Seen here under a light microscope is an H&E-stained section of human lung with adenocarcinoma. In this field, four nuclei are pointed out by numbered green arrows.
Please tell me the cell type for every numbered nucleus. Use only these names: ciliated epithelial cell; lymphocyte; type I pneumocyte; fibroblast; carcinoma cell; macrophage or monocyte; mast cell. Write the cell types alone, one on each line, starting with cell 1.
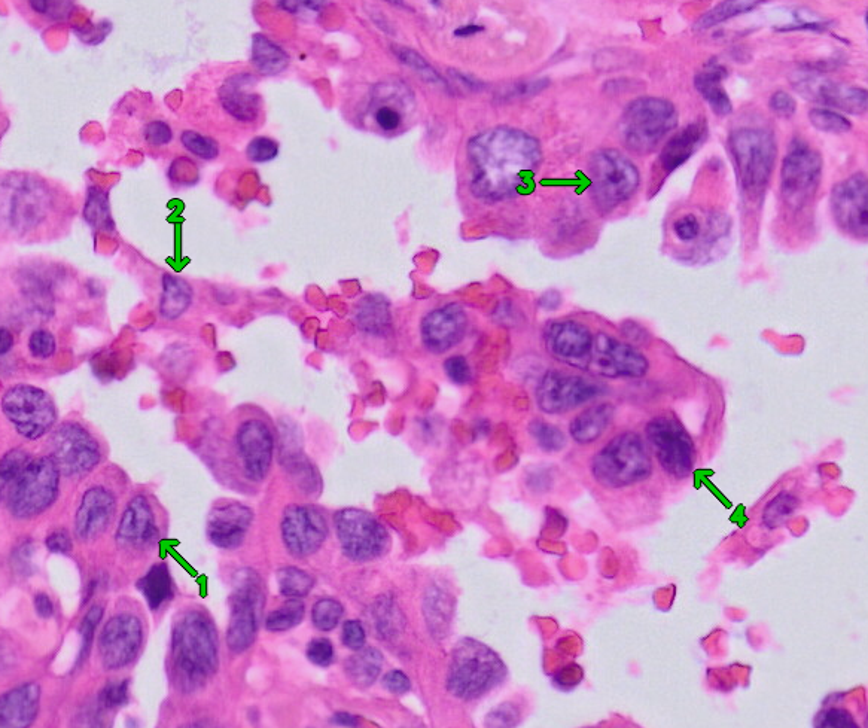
carcinoma cell
macrophage or monocyte
carcinoma cell
carcinoma cell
